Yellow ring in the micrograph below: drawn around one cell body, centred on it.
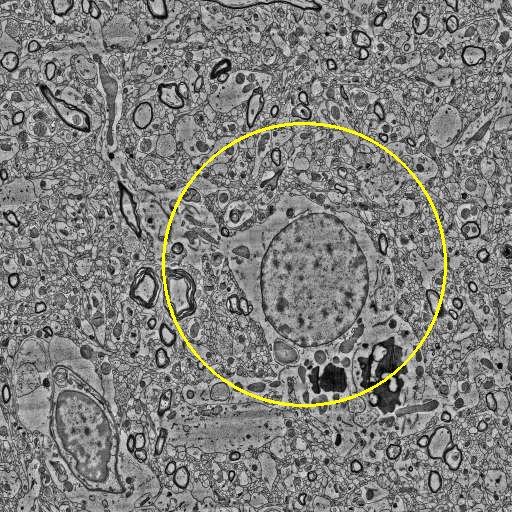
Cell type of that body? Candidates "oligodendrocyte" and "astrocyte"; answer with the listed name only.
astrocyte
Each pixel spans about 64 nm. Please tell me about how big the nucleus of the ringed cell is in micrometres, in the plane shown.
Approximately 9 by 7 micrometers in this plane.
